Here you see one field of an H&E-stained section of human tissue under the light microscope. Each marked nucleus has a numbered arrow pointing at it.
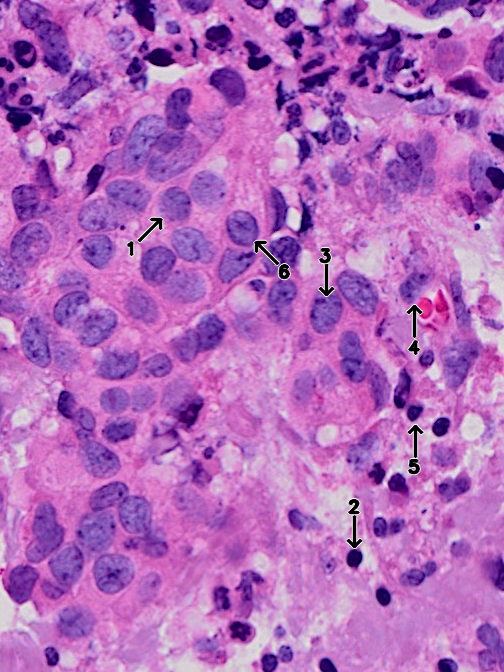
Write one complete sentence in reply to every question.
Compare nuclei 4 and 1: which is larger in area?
Nucleus 1 covers more area, about 1.5 times as much as nucleus 4.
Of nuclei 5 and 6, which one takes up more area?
It is nucleus 6, which covers about 3 times the area of nucleus 5.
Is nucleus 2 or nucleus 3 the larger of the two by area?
Nucleus 3 is the larger one, covering about 3 times the area of nucleus 2.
